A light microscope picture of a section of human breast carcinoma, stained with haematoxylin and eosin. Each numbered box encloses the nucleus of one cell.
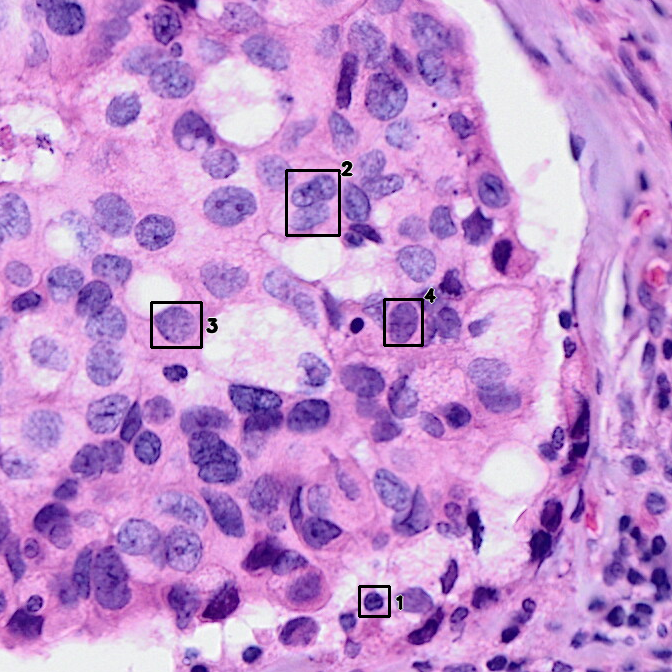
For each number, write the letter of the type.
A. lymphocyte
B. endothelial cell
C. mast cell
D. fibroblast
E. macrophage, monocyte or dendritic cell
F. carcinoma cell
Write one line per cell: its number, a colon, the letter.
1: A
2: F
3: F
4: F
